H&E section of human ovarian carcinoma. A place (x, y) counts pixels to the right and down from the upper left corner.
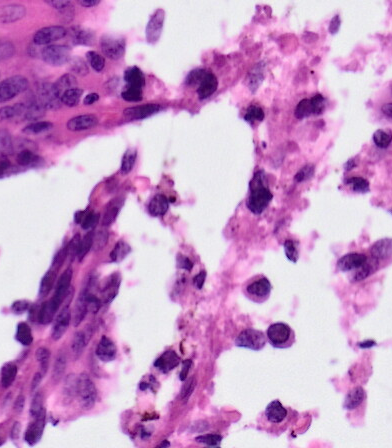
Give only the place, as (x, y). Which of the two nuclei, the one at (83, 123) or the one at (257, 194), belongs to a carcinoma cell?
(257, 194)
